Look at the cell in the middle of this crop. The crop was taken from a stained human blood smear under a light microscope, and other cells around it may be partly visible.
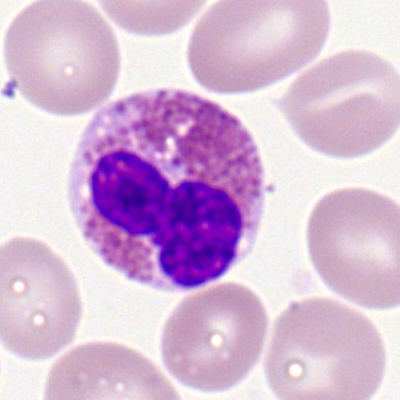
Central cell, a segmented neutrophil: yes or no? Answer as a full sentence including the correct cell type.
No, the cell at the centre is an eosinophil, which rules out a segmented neutrophil.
